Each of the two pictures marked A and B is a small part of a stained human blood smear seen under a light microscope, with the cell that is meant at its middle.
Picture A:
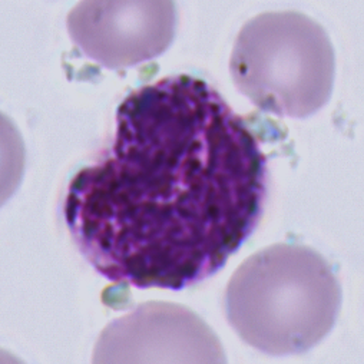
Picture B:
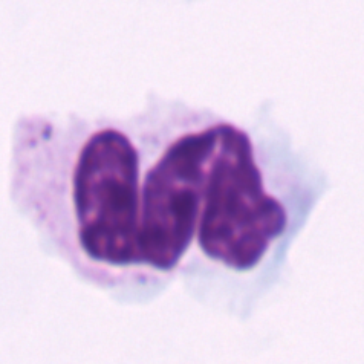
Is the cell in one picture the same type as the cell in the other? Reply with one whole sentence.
No; the cell in picture A is a basophil, while the one in picture B is a segmented neutrophil.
